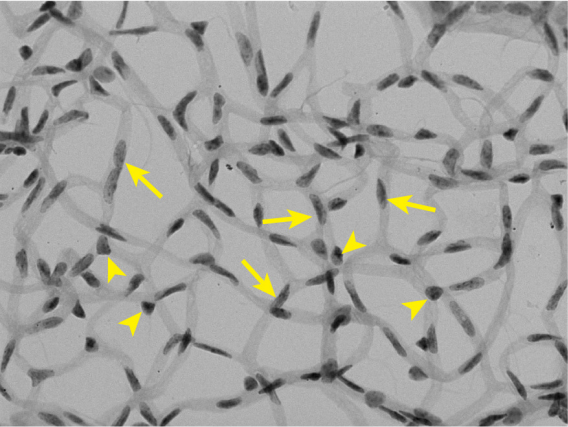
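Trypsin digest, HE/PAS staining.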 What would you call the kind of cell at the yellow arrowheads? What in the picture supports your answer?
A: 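The arrowheads point to small, rounded, very dark nuclei. These nuclei bulge from the outer side of the capillaries, often near branch points. The answer: pericytes.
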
